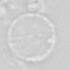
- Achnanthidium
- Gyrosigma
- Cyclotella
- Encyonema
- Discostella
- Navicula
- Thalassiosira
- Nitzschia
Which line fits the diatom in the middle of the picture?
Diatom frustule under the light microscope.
Thalassiosira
